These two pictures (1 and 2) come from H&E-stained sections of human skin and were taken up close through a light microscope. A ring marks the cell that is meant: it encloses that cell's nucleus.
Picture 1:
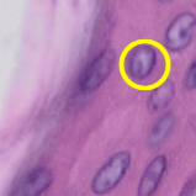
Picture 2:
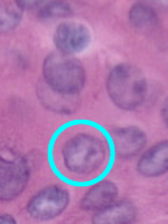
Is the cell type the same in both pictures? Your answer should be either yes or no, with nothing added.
yes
